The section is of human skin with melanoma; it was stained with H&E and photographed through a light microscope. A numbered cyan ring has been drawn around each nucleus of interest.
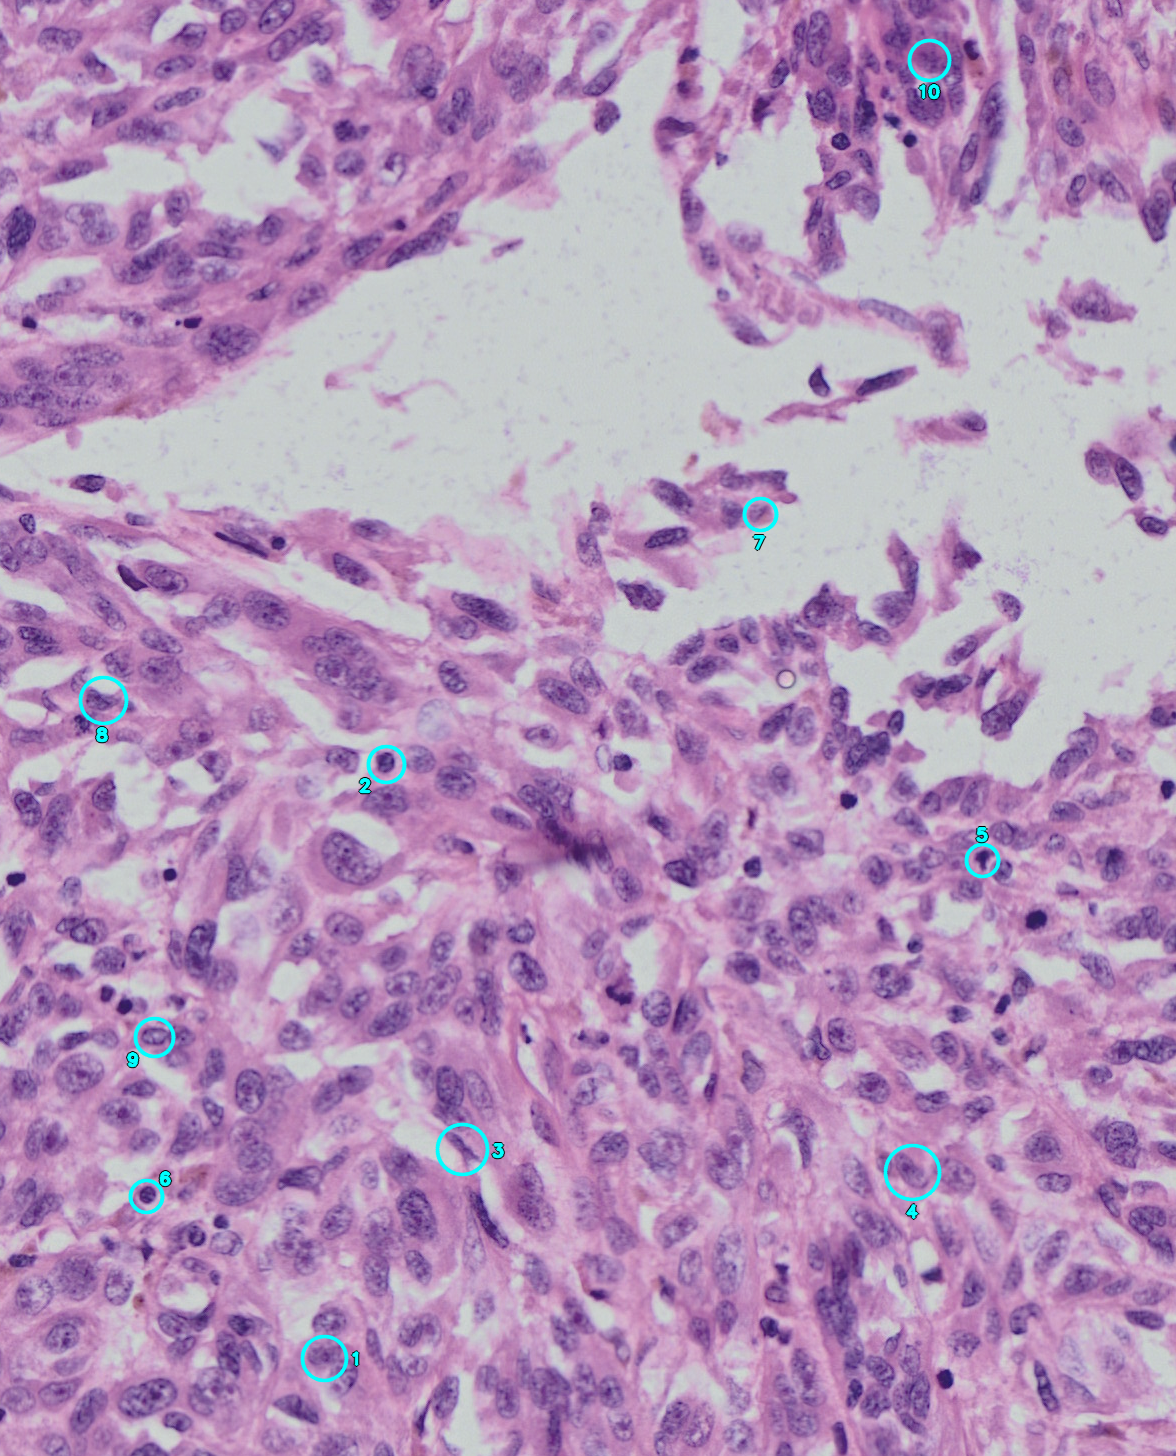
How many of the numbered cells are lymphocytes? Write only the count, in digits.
3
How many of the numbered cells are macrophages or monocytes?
1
